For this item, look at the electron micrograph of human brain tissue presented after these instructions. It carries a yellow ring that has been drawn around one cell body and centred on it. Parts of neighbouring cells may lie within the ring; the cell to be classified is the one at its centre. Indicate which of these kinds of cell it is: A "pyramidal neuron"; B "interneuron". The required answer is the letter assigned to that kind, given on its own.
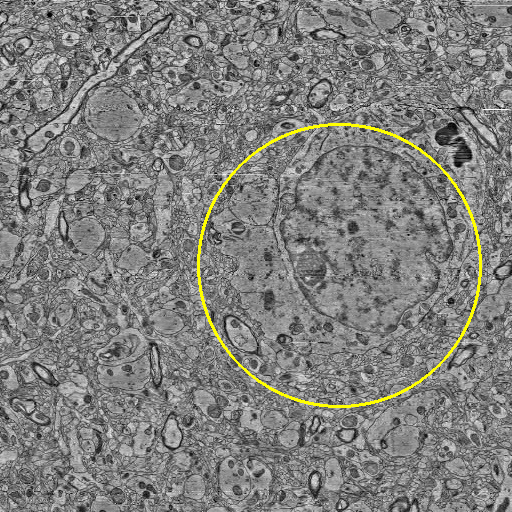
B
